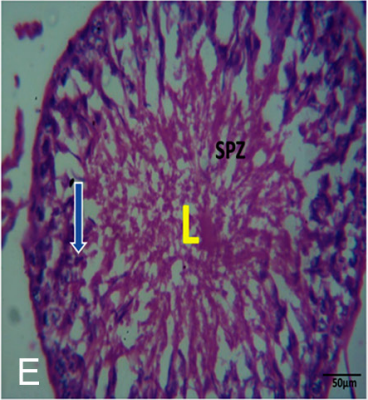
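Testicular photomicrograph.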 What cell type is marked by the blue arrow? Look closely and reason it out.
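Spermatogenic cells. The arrow points to densely packed cells with dark round nuclei near the outer wall of the tubule. Cells form several layers that continue toward the centre.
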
